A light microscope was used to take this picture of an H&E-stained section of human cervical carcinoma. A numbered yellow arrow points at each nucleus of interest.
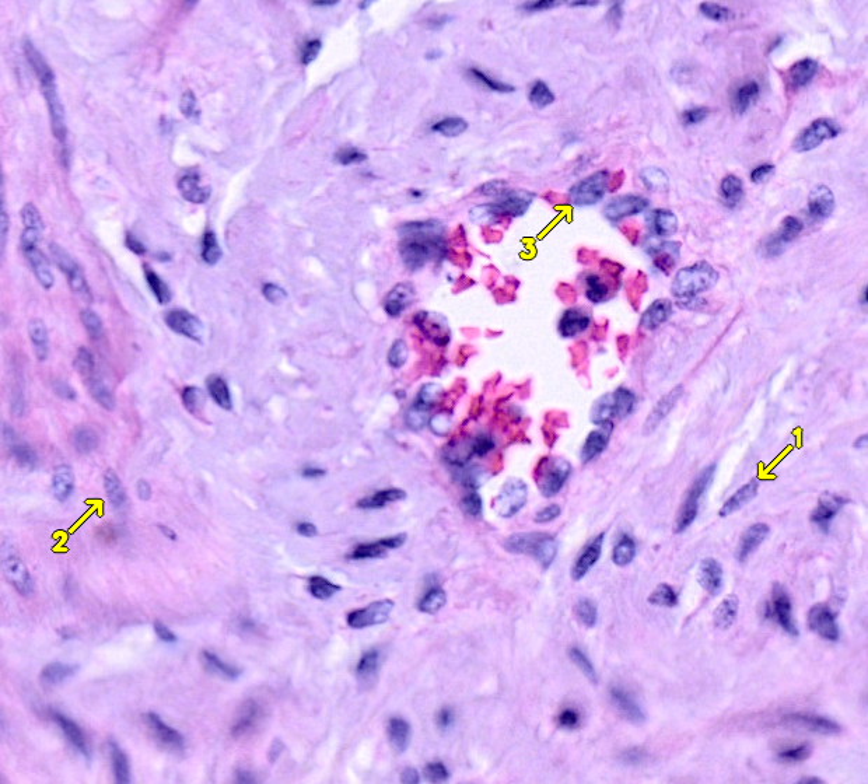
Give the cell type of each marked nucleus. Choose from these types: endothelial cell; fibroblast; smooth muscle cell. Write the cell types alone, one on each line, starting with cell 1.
fibroblast
smooth muscle cell
endothelial cell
